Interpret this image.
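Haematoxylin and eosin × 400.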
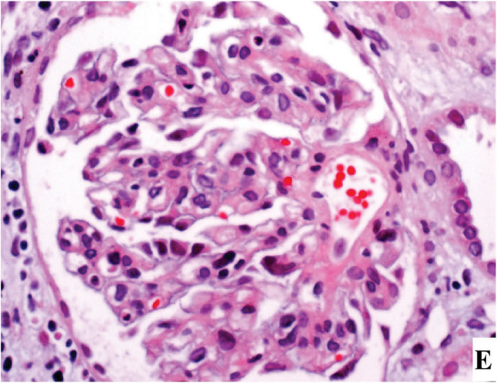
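The tuft is lobulated, and the central stalks of the lobules are crowded with purple oval and elongated nuclei in pink matrix. Several capillary lumens stay open, some holding bright red erythrocytes. A clear Bowman's space separates the tuft from the thin capsule, beyond which tubular epithelium lies.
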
